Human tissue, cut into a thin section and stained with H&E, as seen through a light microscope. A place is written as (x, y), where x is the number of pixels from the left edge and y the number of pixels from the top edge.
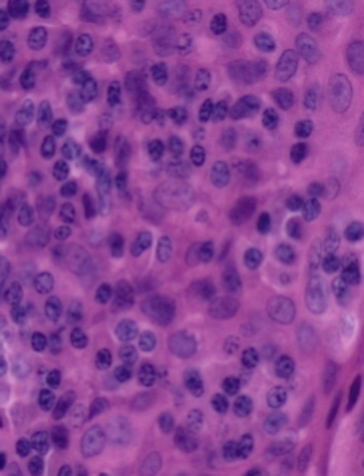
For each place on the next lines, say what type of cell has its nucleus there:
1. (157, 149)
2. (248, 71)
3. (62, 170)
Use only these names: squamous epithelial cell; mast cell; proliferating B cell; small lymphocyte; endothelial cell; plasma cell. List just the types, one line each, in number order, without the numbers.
plasma cell
squamous epithelial cell
plasma cell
